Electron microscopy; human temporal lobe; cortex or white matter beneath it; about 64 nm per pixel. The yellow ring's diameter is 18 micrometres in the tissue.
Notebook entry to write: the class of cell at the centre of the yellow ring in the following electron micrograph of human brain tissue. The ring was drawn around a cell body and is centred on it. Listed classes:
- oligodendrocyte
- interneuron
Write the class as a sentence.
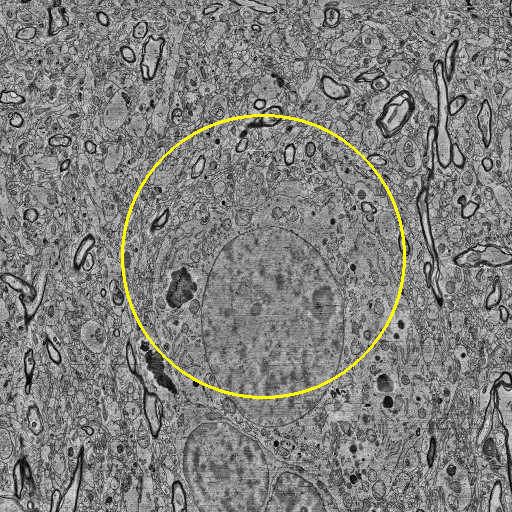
The yellow ring sits on an interneuron.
